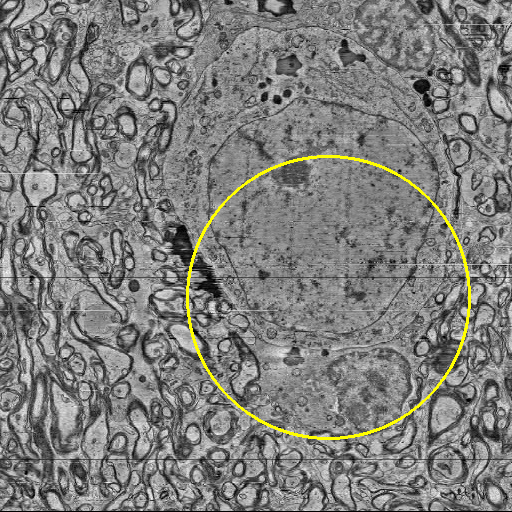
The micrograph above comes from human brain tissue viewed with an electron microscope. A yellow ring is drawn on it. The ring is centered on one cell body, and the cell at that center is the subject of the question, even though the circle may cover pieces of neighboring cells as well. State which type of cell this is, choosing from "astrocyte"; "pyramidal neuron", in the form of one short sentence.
The cell the ring is centered on is a pyramidal neuron.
